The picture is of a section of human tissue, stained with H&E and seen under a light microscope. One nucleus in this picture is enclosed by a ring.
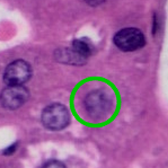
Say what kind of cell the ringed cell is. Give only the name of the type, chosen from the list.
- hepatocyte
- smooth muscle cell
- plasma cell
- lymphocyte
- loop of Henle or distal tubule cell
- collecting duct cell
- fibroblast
hepatocyte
